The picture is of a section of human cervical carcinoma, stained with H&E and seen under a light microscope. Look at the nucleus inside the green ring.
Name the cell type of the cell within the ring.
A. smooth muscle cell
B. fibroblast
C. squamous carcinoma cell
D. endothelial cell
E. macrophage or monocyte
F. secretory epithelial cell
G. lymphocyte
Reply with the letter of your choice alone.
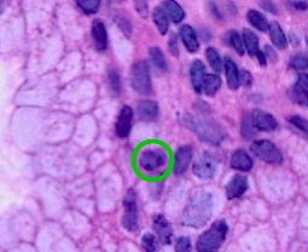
F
